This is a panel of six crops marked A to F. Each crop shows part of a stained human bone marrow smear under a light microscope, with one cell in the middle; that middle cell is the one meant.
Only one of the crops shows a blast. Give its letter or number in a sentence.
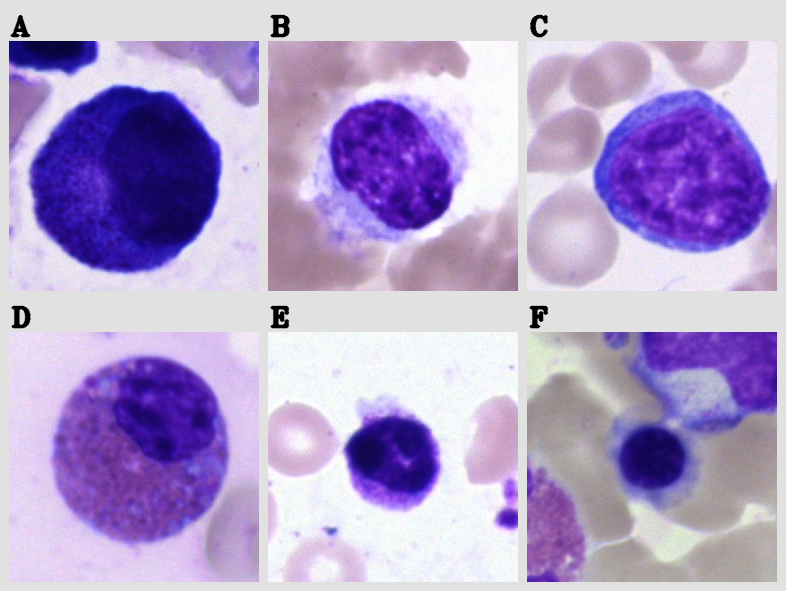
The one showing a blast is the crop labelled C.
